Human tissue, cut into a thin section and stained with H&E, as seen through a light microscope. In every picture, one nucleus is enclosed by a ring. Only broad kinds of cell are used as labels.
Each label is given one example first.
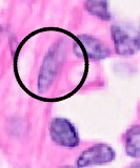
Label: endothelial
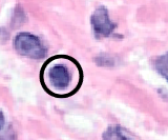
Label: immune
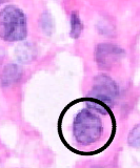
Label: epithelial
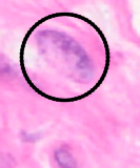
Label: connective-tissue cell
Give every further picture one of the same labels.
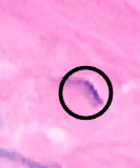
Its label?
connective-tissue cell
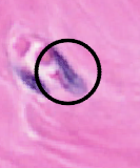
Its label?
endothelial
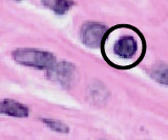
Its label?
immune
